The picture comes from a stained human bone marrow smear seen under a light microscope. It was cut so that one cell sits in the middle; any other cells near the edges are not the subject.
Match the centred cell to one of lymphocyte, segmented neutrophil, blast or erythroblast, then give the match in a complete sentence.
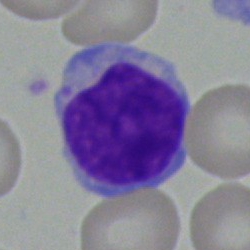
Within this crop, a lymphocyte occupies the central position.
